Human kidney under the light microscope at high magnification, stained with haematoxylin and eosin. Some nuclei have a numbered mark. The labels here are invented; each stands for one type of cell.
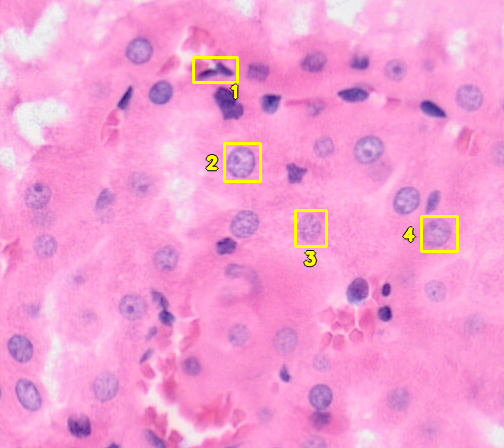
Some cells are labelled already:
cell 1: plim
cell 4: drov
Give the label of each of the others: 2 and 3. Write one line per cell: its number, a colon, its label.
2: drov
3: drov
